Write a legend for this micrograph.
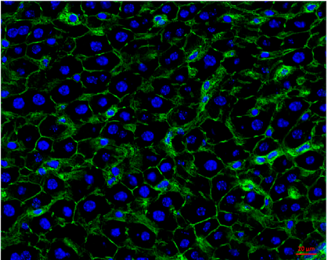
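This is liver tissue made of hepatocytes, large polygonal cells fitted together like paving stones, each outlined by a fine green rim along its borders. Most cells carry a single round blue nucleus near their centre, and a number hold two nuclei side by side. Between the cell plates run brighter green streaks and small elongated cells, which follow the narrow spaces between rows of hepatocytes.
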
